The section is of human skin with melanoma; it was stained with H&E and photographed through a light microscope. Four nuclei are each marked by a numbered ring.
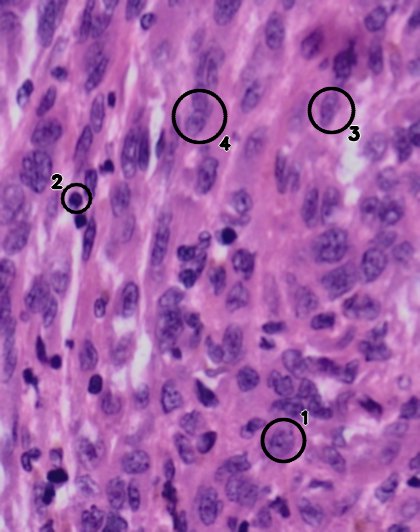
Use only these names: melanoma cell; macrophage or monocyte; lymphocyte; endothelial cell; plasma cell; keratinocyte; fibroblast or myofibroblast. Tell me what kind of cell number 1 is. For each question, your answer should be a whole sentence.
Classified as a melanoma cell is the cell with the number 1.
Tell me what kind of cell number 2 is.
Number 2 among the marked cells is a lymphocyte.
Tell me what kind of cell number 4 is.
Cell 4 in the field of view is a melanoma cell.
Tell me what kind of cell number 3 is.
Recognised here as a melanoma cell is the cell numbered 3.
